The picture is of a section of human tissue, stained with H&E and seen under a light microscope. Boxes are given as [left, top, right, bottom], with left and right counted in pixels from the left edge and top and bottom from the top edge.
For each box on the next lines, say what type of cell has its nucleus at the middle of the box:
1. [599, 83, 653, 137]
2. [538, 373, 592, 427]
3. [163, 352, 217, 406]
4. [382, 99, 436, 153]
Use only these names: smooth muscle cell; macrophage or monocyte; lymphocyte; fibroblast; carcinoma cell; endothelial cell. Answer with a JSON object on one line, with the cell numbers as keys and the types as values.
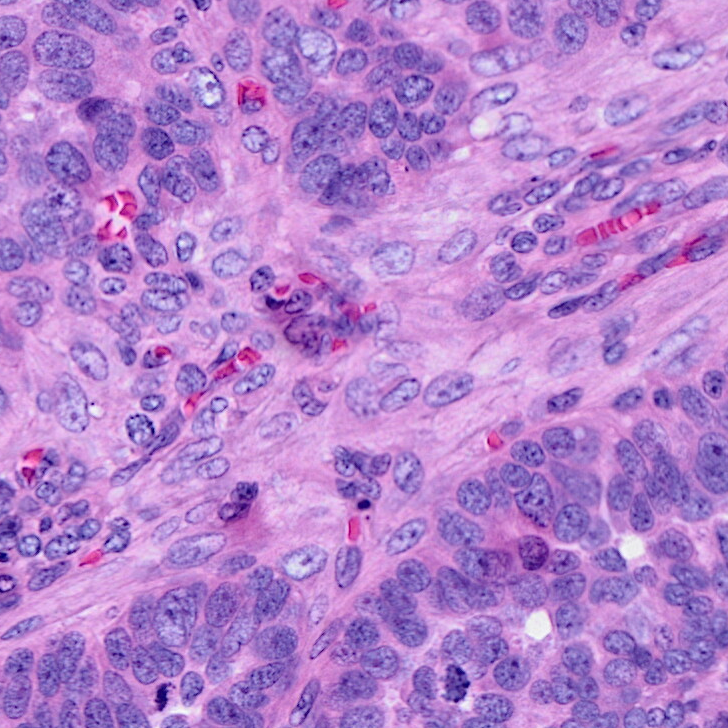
{"1": "fibroblast", "2": "macrophage or monocyte", "3": "endothelial cell", "4": "carcinoma cell"}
